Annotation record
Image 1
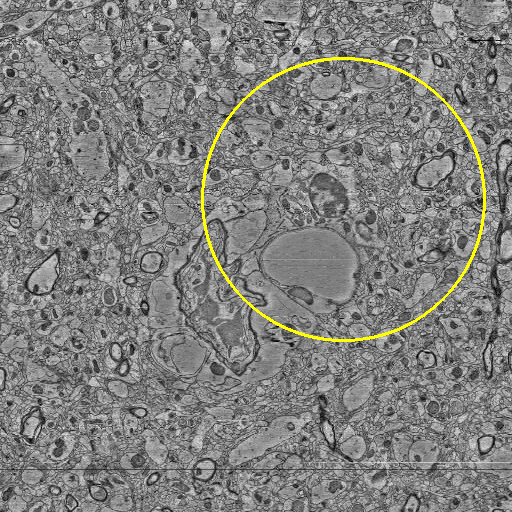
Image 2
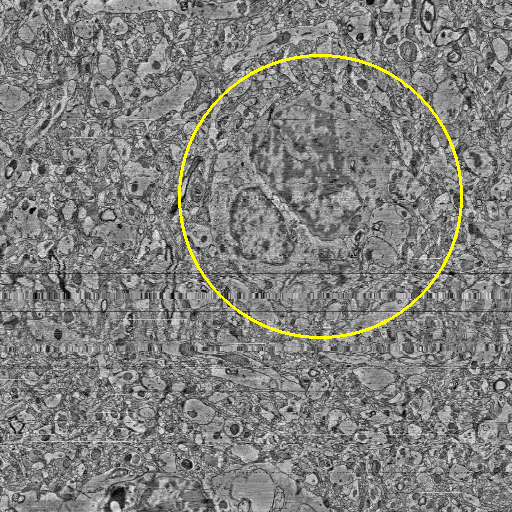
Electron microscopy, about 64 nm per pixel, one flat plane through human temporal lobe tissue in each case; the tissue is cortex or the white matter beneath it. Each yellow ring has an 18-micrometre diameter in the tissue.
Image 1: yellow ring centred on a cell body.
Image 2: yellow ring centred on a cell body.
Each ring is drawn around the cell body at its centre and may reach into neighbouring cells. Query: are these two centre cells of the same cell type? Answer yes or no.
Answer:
no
